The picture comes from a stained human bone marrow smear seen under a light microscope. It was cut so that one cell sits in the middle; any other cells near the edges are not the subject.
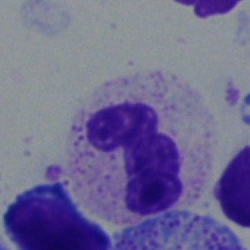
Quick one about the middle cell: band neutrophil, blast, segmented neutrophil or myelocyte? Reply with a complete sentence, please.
The crop centres on a single cell, and that cell is a segmented neutrophil.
